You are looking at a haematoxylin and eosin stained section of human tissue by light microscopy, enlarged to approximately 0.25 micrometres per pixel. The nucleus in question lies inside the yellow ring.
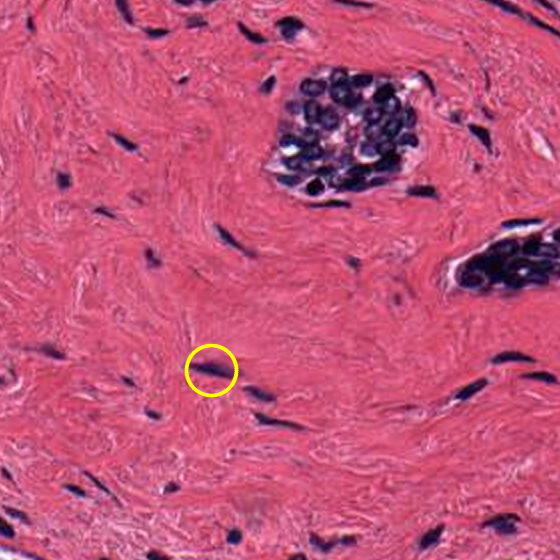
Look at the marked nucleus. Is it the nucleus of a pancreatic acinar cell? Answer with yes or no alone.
no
